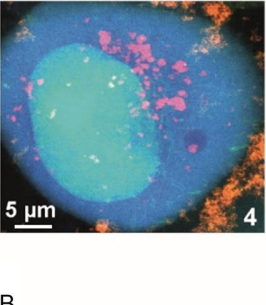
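Red deposits form larger clumps than small dots, collected in the cytoplasm along the upper side of the nucleus. Orange patches lie at the edge of the field outside the cell.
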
